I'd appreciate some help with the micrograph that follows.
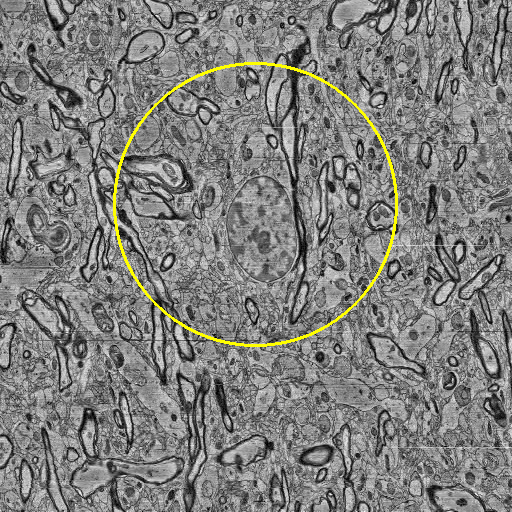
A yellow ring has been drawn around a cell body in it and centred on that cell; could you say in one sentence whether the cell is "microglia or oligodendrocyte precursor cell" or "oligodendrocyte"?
It is a microglial cell or oligodendrocyte precursor cell at the centre of the ring.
